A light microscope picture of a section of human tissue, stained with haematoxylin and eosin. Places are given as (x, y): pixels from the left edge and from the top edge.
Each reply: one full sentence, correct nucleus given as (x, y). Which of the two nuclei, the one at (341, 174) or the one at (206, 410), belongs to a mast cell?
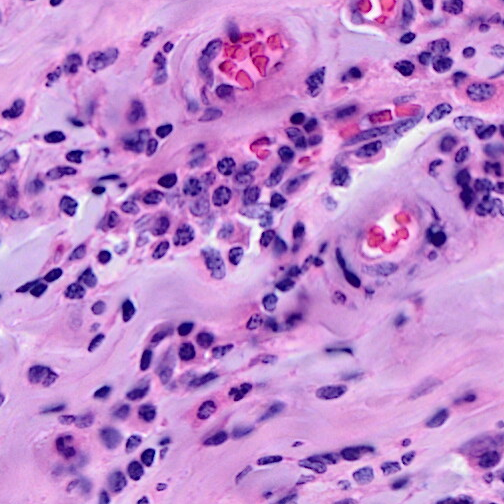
The nucleus at (206, 410) is the member of the pair belonging to a mast cell.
